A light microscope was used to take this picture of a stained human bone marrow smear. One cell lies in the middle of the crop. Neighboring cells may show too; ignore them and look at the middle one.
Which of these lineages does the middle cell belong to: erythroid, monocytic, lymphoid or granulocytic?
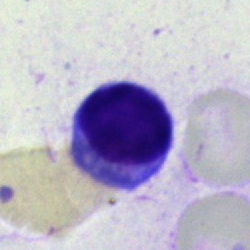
lymphoid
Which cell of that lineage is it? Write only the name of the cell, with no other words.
lymphocyte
